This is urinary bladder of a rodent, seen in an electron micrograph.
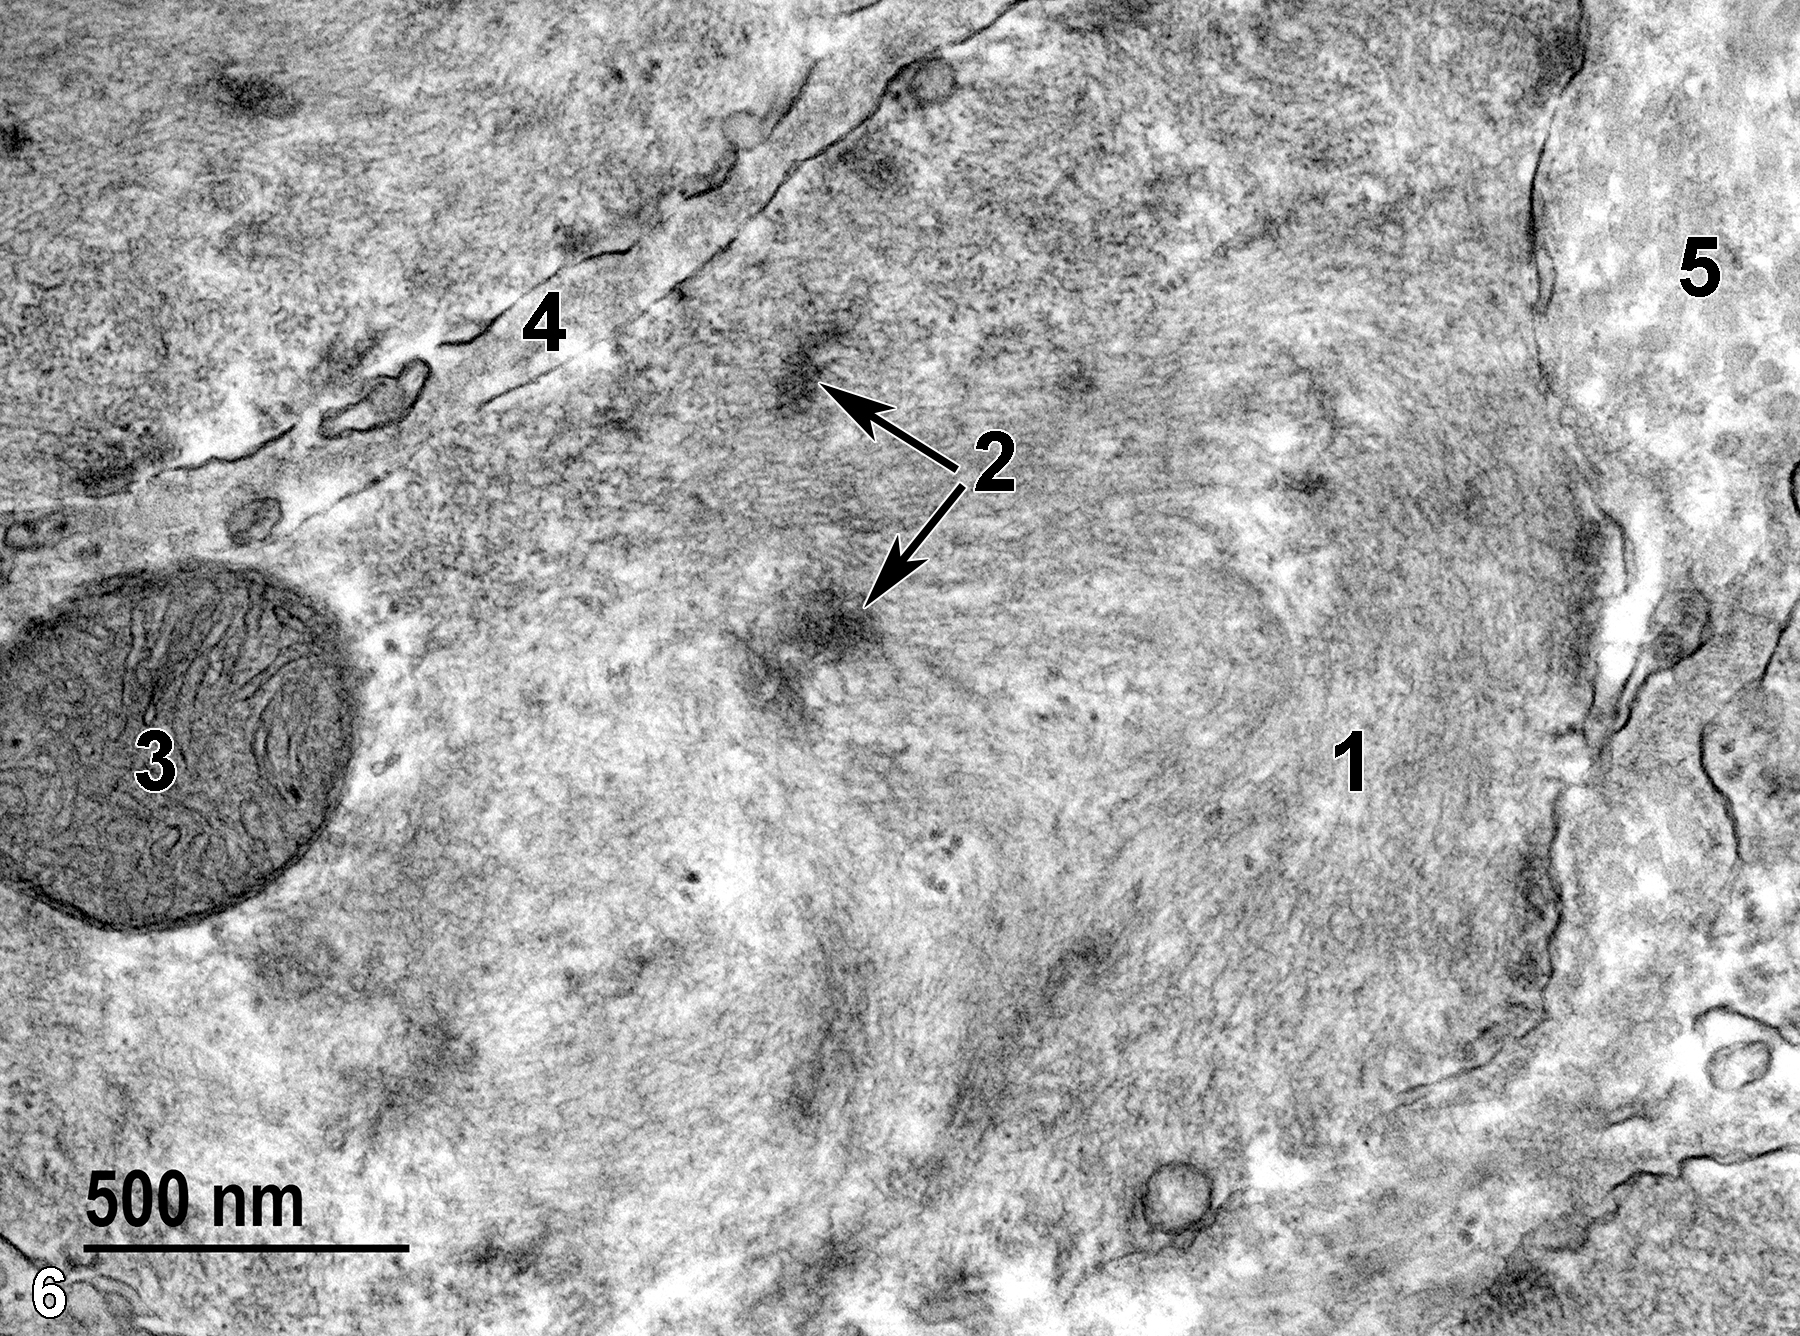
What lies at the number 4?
4 marks the smooth muscle cell basal laminae.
